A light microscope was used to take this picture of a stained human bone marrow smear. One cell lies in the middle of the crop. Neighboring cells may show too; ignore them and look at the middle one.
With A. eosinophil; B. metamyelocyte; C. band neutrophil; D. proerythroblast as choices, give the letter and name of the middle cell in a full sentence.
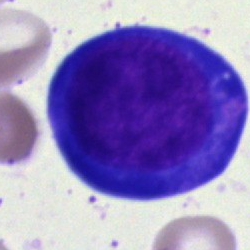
Option D is the right one, for the cell in the middle is a proerythroblast.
